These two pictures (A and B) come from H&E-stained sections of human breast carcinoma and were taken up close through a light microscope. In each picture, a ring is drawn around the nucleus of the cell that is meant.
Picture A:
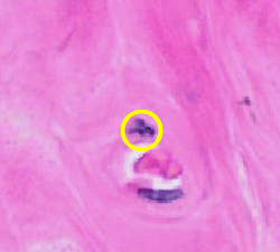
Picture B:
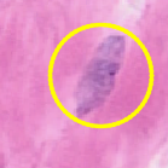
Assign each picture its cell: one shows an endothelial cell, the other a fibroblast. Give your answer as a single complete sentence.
The cell in picture A is an endothelial cell, and the one in picture B is a fibroblast.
